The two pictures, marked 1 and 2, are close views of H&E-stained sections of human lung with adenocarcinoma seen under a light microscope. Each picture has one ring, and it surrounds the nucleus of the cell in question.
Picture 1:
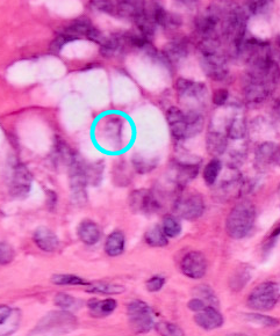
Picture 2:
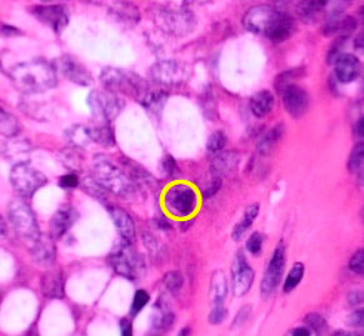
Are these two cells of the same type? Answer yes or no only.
yes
